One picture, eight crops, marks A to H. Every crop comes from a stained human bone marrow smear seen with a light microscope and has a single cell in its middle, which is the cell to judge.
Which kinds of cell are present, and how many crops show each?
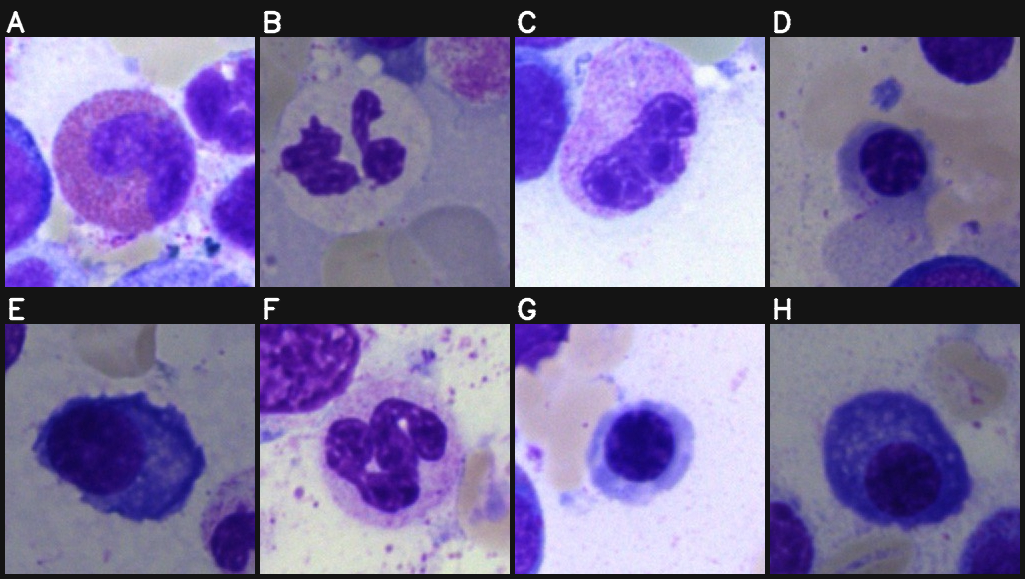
segmented neutrophil: 3
erythroblast: 2
plasma cell: 2
eosinophil: 1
